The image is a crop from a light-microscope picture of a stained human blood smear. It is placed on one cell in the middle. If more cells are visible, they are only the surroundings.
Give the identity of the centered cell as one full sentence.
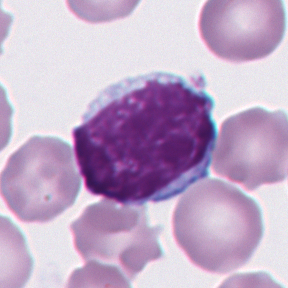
The cell around which this crop is centred is a typical lymphocyte.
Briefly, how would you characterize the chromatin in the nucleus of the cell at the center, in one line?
Answer: the chromatin in this nucleus is coarsely clumped.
